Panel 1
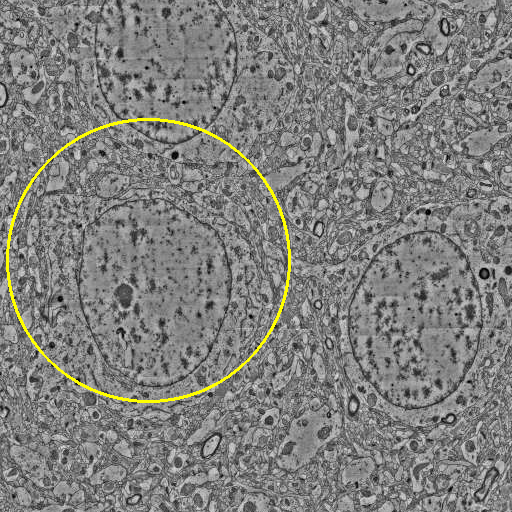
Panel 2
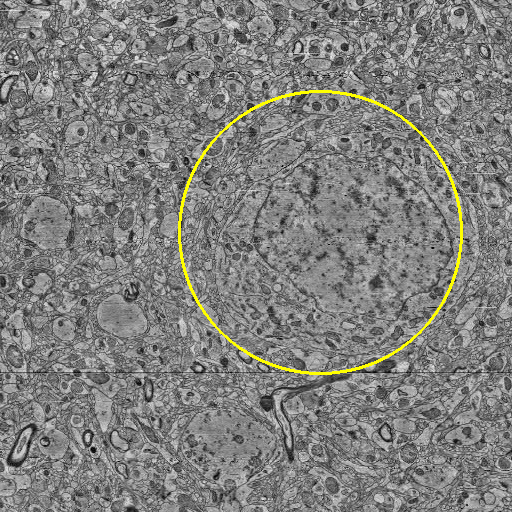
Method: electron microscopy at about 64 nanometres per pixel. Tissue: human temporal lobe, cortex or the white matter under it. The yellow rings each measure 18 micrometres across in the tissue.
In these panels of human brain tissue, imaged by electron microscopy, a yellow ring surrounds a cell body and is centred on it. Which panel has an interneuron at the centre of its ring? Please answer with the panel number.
2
